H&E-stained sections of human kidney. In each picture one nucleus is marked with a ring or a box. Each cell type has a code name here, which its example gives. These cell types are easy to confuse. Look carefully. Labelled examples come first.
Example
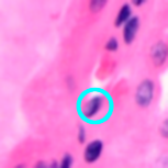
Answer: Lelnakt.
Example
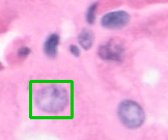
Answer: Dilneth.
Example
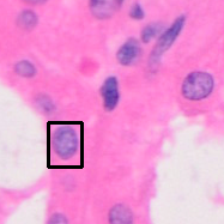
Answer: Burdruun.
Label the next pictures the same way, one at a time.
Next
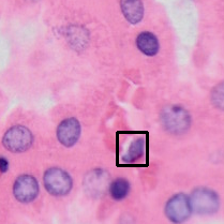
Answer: Lelnakt.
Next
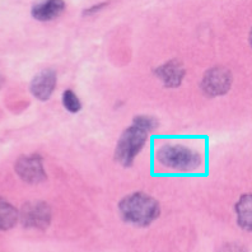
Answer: Lelnakt.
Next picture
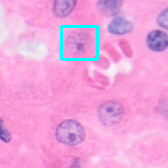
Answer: Dilneth.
